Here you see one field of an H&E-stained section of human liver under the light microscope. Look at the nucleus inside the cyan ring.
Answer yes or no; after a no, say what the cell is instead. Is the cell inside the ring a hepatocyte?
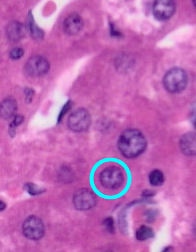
Yes.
